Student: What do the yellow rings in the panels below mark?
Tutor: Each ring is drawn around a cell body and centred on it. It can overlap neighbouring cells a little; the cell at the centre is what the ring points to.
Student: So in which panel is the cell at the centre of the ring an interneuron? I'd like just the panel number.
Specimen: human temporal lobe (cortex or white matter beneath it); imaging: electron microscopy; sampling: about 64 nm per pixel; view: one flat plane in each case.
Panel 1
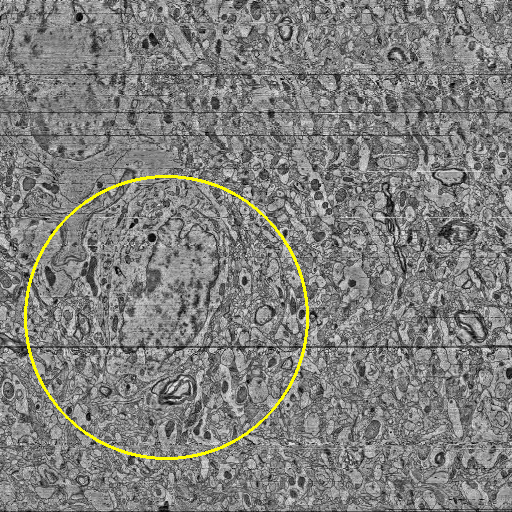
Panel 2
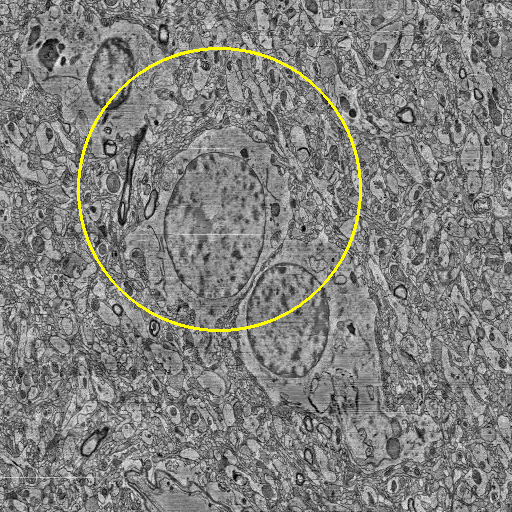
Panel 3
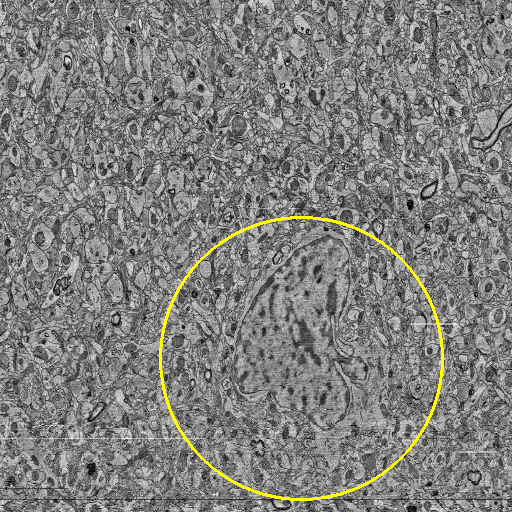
1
